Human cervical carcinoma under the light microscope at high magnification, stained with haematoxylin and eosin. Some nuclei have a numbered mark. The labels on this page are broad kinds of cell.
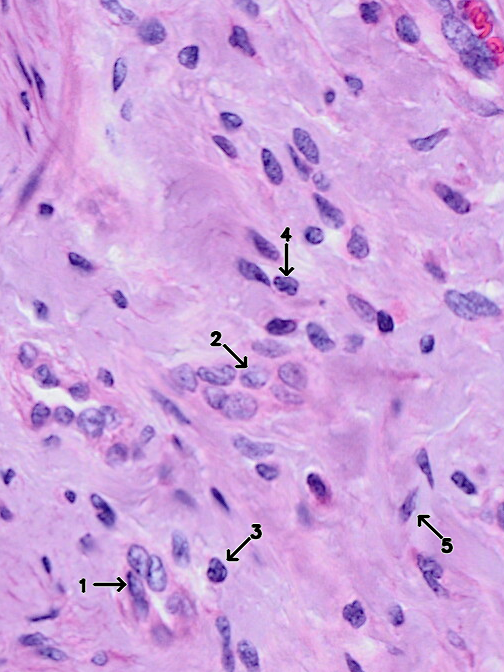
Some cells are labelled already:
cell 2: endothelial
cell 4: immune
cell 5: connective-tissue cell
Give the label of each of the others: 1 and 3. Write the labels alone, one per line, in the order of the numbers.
endothelial
immune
